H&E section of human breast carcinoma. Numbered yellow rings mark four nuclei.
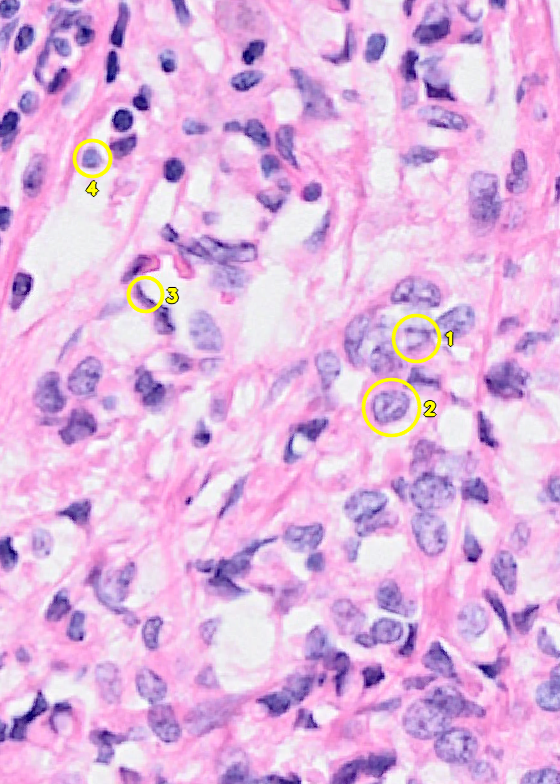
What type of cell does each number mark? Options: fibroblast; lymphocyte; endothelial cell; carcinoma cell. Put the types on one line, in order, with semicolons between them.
carcinoma cell; carcinoma cell; endothelial cell; lymphocyte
